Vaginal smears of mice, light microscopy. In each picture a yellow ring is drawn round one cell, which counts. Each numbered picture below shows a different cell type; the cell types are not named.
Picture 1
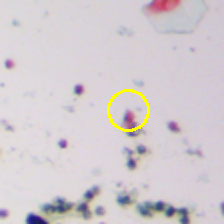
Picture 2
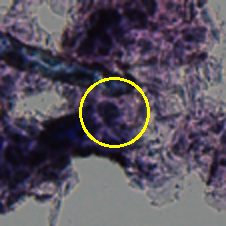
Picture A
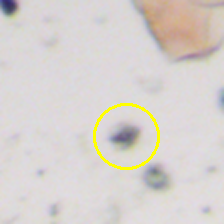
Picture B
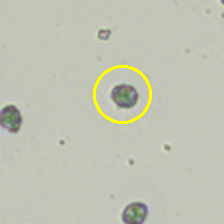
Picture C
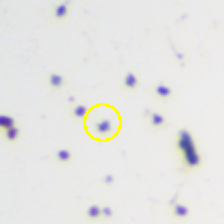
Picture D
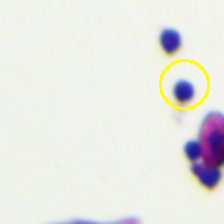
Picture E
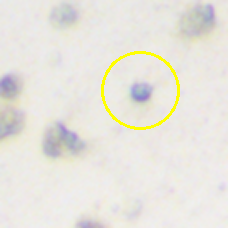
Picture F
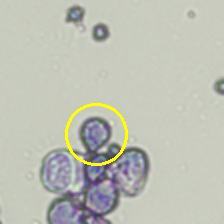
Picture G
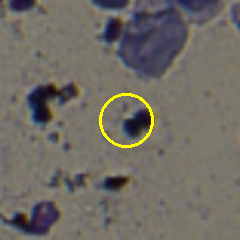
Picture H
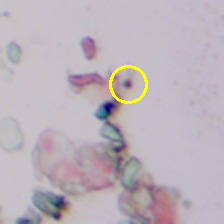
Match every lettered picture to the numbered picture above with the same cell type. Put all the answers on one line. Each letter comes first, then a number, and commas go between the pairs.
A 1, B 1, C 1, D 1, E 1, F 2, G 1, H 1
